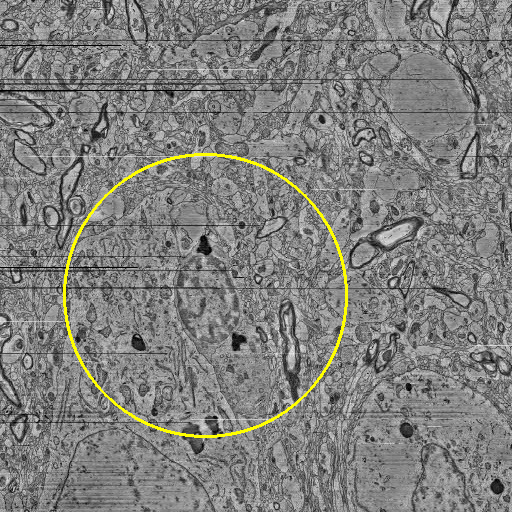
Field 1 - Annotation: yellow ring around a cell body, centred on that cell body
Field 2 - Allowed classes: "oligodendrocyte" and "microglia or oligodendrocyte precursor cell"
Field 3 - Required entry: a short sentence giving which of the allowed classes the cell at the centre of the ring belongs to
The centred cell is an oligodendrocyte.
